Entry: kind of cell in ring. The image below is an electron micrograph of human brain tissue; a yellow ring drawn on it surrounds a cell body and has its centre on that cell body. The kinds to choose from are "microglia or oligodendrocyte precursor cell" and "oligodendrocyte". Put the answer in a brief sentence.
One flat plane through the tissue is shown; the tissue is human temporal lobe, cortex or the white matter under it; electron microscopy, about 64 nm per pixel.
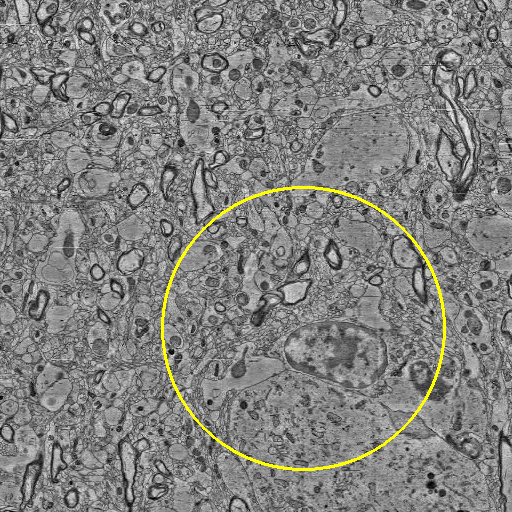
The ring has been drawn around a microglial cell or oligodendrocyte precursor cell.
